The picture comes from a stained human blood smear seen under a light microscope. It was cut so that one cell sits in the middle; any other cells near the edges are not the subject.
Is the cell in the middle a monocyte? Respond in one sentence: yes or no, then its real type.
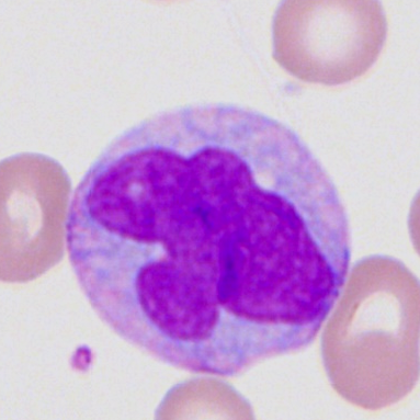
Yes, the cell in the center of the field is a monocyte.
